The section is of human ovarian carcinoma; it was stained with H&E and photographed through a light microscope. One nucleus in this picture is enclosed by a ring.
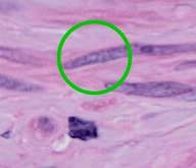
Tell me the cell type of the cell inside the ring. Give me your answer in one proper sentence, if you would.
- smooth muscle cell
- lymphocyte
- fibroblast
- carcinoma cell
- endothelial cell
Within the stained tissue, the cell inside the ring is a smooth muscle cell.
